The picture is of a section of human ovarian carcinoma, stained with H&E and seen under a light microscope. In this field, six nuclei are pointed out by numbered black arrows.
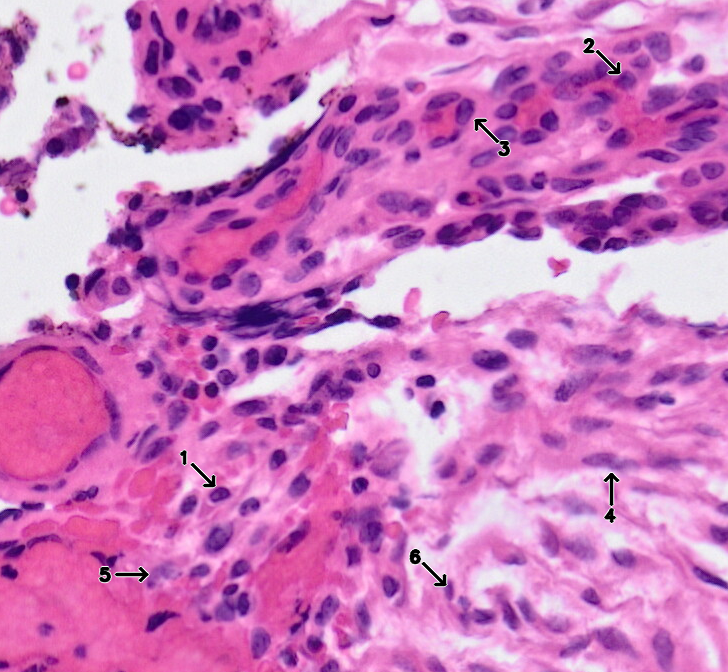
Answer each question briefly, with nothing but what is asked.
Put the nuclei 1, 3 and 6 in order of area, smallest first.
6, 1, 3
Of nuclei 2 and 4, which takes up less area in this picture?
2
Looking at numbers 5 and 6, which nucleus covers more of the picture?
5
